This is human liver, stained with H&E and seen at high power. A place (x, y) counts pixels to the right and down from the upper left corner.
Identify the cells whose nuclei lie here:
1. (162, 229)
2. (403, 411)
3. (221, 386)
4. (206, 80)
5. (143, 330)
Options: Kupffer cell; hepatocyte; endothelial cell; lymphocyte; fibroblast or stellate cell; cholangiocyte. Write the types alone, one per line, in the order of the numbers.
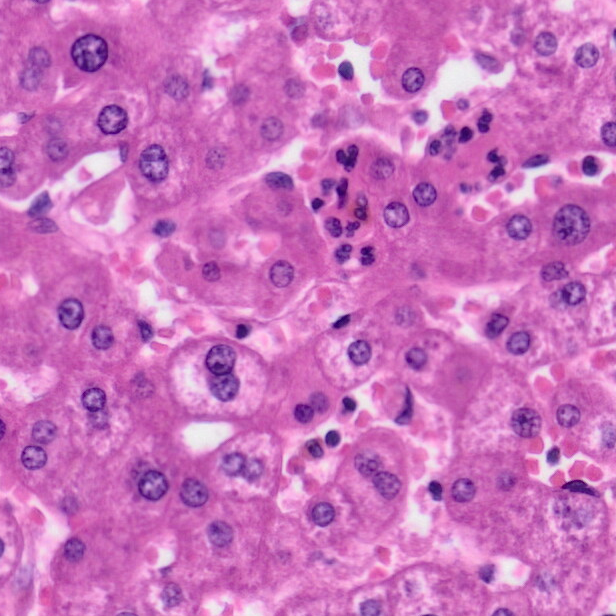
fibroblast or stellate cell
Kupffer cell
hepatocyte
endothelial cell
fibroblast or stellate cell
